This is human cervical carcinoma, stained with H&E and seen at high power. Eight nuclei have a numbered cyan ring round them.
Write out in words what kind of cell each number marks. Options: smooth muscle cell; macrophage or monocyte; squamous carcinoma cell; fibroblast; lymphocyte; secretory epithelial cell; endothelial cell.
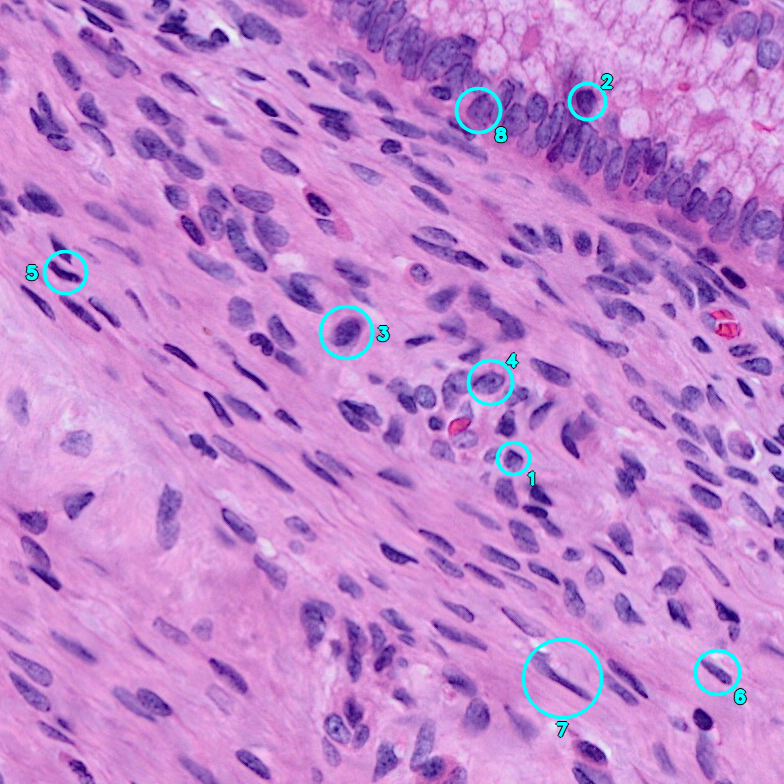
Cell 1 is a fibroblast, cell 2 is a secretory epithelial cell, cell 3 is a fibroblast, cell 4 is an endothelial cell, cell 5 is a fibroblast, cell 6 is a fibroblast, cell 7 is a fibroblast and cell 8 is a secretory epithelial cell.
